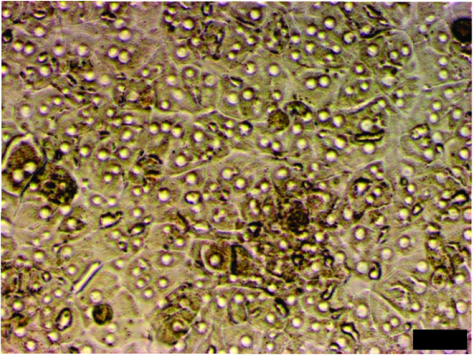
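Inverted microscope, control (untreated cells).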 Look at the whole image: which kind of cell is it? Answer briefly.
Hepatocytes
